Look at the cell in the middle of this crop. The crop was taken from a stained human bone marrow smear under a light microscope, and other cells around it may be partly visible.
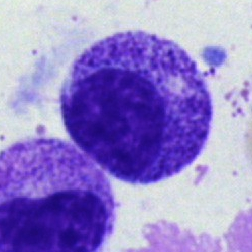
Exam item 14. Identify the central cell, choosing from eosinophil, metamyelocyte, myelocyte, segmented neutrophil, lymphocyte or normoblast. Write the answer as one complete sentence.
At the center of the crop sits a myelocyte.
